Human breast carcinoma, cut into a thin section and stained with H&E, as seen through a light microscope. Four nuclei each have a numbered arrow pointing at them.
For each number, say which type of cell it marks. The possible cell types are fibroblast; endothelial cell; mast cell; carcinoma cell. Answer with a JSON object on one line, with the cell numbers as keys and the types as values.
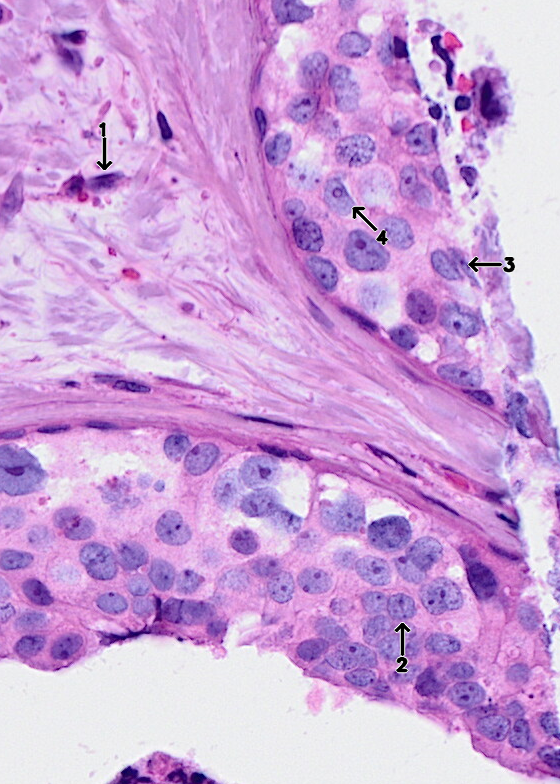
{"1": "fibroblast", "2": "carcinoma cell", "3": "carcinoma cell", "4": "carcinoma cell"}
